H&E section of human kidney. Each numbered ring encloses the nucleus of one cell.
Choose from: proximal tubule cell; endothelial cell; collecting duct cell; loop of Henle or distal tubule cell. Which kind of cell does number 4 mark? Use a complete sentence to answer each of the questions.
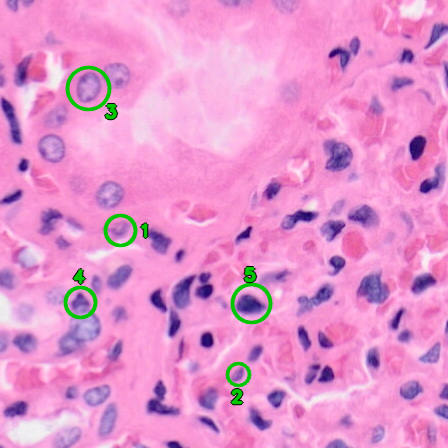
The marked cell bearing number 4 is a collecting duct cell.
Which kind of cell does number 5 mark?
The cell pointed out by number 5 is an endothelial cell.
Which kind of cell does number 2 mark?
The cell that carries the label 2 is an endothelial cell.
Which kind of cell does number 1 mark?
The cell pointed out by number 1 is a collecting duct cell.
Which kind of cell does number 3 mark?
Cell 3, among those numbered, is a proximal tubule cell.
